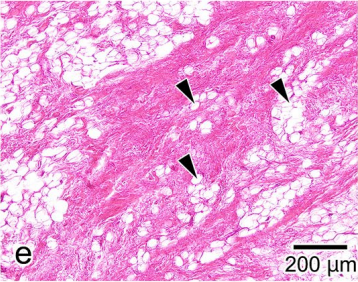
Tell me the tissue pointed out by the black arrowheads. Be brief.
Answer: Adipose tissue.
